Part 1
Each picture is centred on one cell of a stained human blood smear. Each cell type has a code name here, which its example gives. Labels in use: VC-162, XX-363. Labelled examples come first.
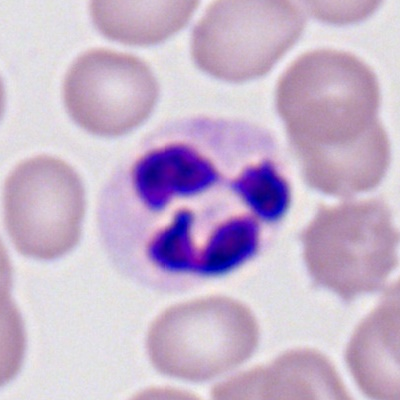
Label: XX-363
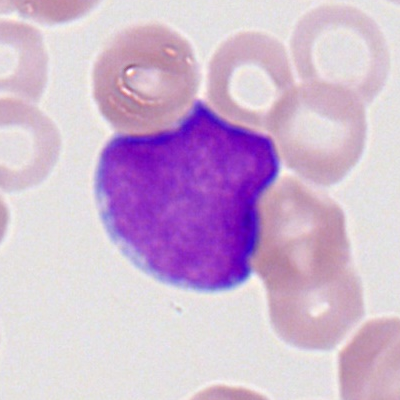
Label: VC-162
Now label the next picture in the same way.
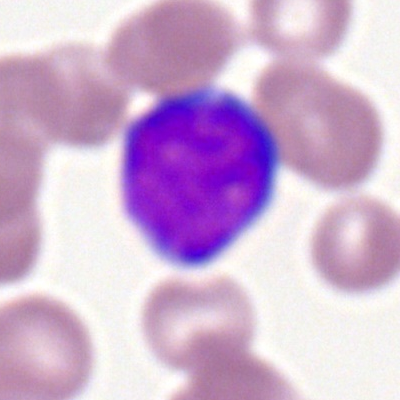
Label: VC-162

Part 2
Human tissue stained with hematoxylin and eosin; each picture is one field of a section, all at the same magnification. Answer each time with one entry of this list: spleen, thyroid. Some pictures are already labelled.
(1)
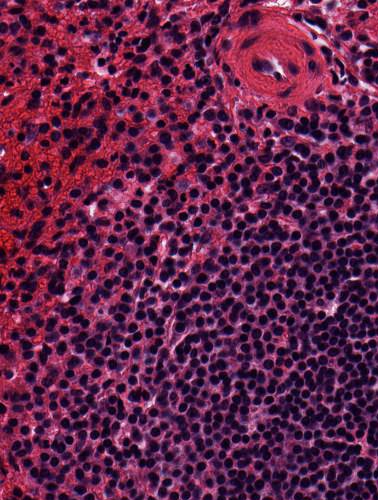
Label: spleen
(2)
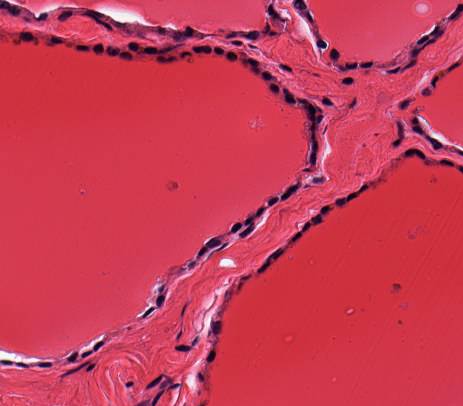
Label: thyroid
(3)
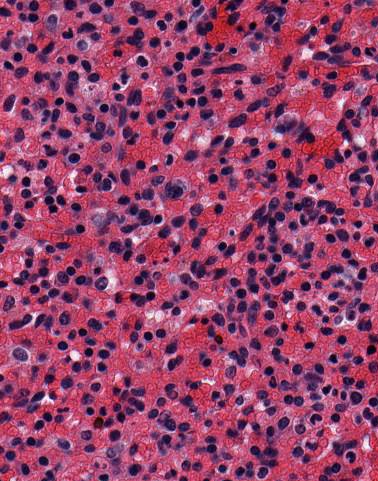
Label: spleen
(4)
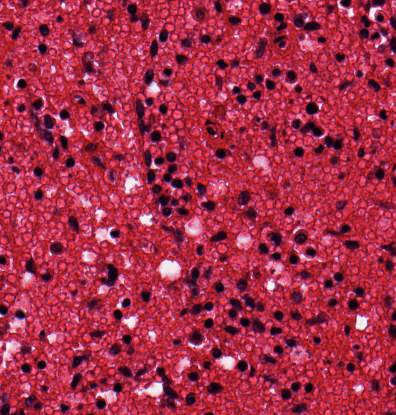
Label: spleen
